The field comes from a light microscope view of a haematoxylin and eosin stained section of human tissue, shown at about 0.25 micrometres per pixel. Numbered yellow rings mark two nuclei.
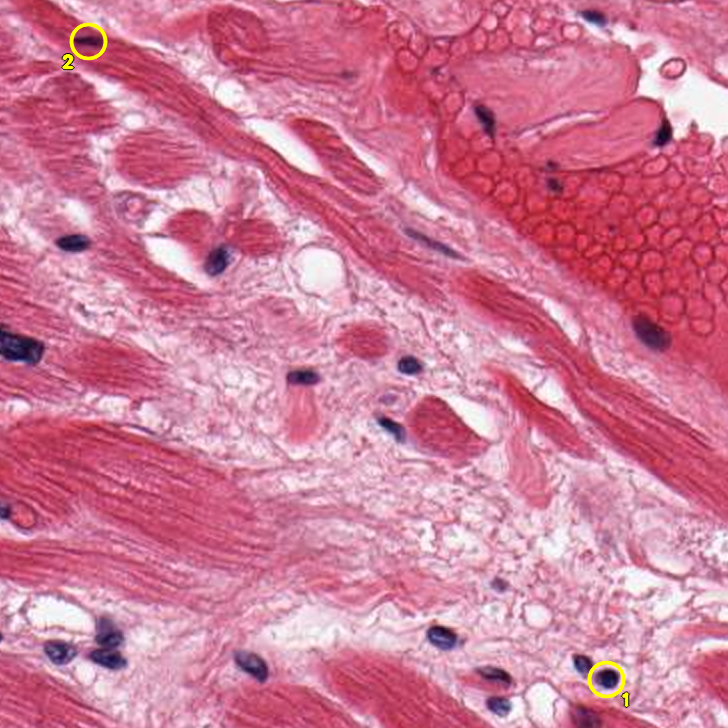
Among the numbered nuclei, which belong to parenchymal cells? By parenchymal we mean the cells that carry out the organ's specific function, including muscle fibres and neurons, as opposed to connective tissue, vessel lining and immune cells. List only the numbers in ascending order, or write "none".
2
